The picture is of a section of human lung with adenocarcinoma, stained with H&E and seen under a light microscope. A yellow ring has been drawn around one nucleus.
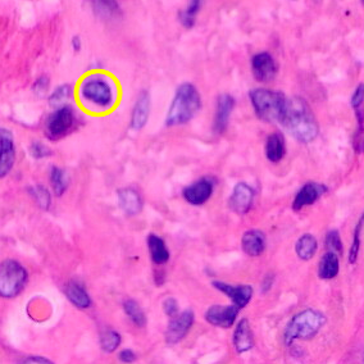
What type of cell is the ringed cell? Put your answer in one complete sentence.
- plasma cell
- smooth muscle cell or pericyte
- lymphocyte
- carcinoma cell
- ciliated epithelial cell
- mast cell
The category to which the ringed cell belongs is that of a mast cell.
